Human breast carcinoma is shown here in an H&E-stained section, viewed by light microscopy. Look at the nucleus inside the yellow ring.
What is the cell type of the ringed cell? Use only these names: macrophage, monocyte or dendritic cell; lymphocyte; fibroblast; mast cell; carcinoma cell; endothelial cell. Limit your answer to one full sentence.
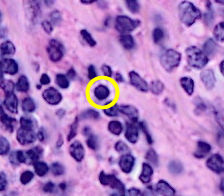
Within this tissue, the ringed cell is a lymphocyte.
